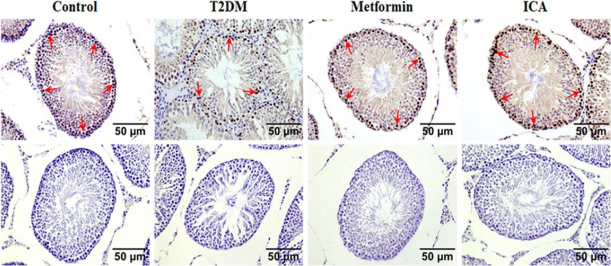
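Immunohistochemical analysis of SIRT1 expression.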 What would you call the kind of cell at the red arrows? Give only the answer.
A: spermatogonia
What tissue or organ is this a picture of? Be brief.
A: Testis.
